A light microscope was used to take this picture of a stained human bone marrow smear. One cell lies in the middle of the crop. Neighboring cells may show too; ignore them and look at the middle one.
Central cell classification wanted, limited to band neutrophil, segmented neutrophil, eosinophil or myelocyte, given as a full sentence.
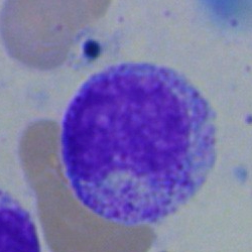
For this crop, the cell in the middle is a myelocyte.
